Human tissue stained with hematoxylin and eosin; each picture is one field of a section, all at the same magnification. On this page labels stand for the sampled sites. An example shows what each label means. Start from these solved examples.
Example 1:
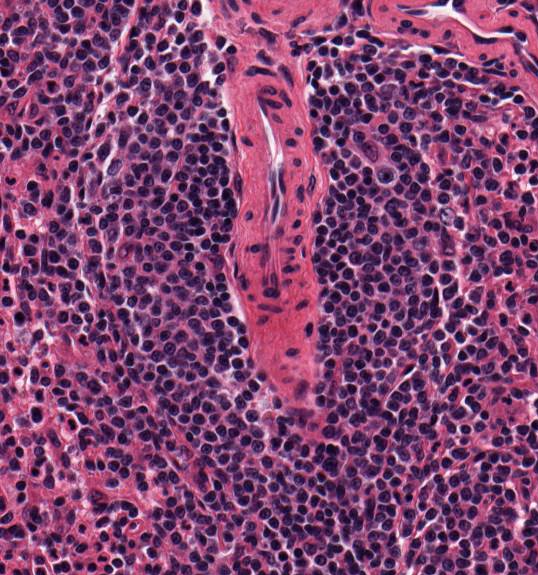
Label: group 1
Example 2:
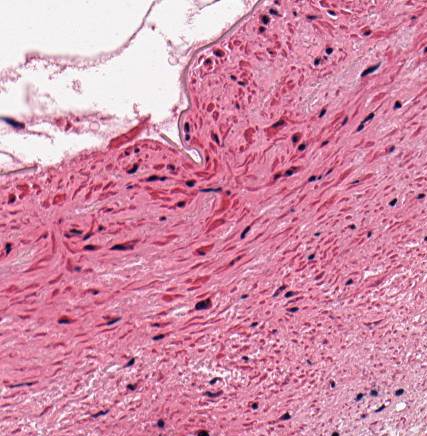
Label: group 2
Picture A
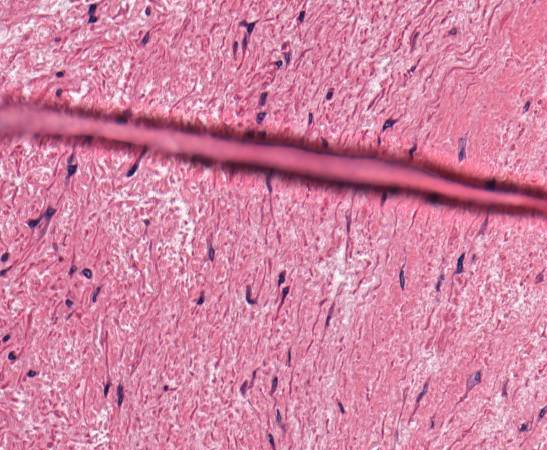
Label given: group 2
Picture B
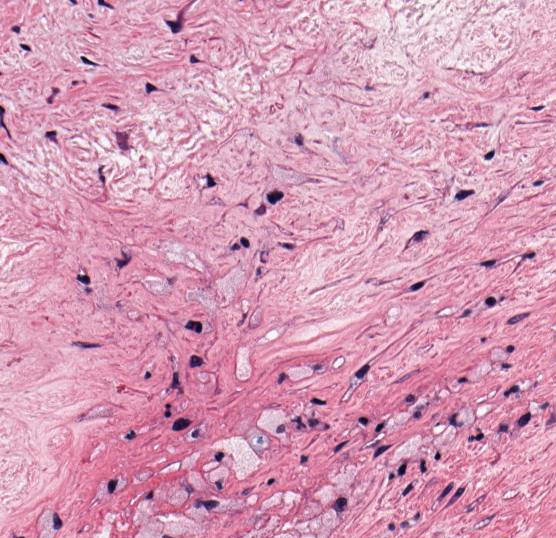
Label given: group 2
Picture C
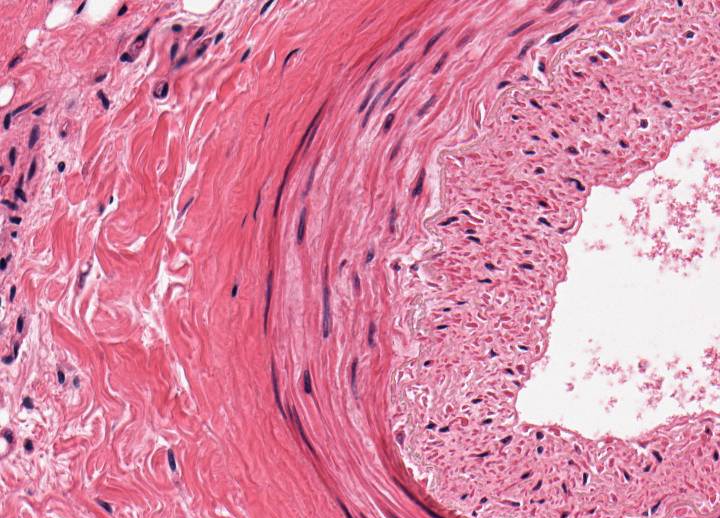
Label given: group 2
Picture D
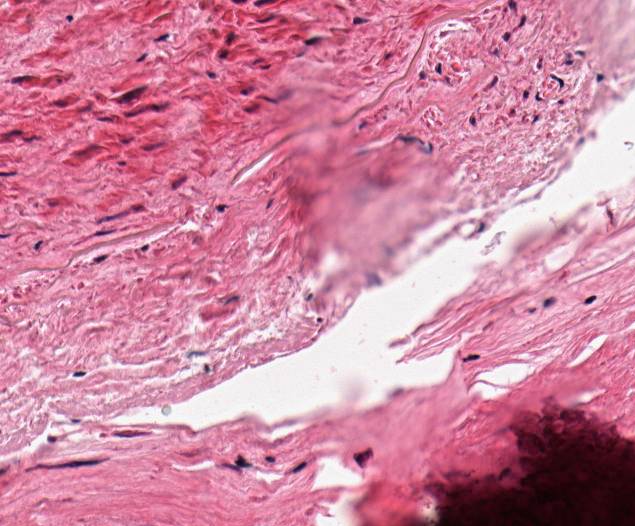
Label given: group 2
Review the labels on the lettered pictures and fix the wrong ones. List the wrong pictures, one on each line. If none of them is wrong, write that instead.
No label is wrong.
